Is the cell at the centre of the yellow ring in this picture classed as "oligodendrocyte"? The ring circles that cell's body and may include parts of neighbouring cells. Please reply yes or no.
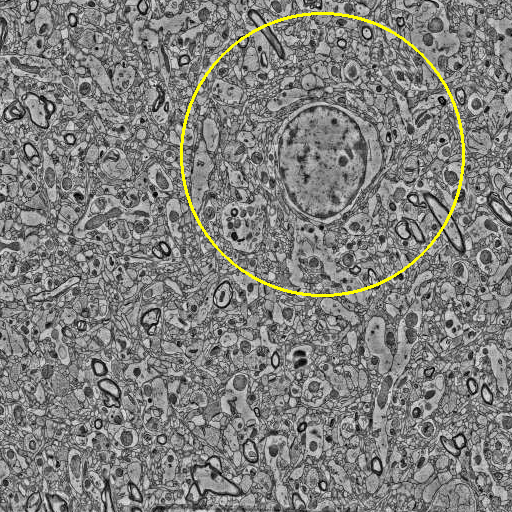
No, it is of another kind.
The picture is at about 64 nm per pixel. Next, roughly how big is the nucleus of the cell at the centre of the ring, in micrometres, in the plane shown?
The ringed cell's nucleus measures approximately 7 by 6 micrometres in this plane.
